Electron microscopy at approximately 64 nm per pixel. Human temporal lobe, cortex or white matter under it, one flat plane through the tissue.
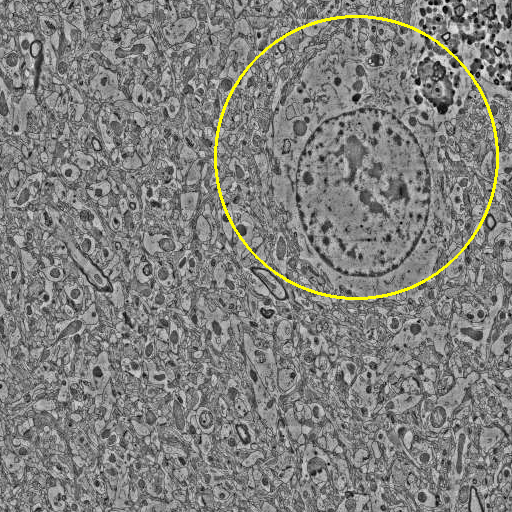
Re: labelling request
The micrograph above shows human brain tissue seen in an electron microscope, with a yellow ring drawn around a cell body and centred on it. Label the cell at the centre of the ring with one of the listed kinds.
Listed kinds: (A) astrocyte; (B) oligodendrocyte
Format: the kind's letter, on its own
A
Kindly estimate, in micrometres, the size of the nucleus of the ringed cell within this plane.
The nucleus is approximately 11 micrometers long by 9 micrometers wide in this plane.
